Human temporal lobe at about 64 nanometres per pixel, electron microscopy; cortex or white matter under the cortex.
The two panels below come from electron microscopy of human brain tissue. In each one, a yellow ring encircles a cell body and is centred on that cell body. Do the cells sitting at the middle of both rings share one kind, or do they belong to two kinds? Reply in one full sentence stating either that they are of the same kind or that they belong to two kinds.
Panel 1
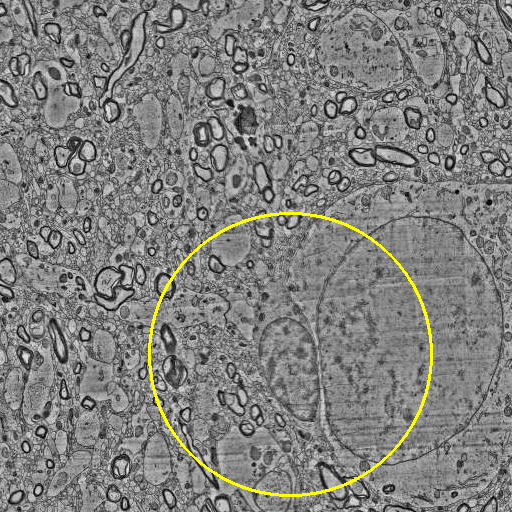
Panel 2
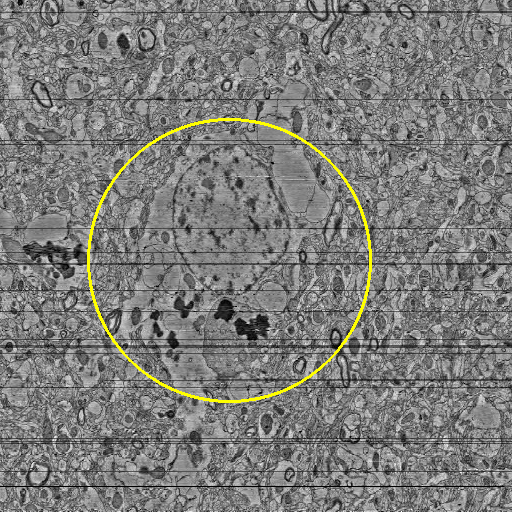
The cells at the centres of the two rings belong to two kinds.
